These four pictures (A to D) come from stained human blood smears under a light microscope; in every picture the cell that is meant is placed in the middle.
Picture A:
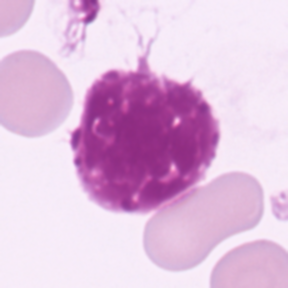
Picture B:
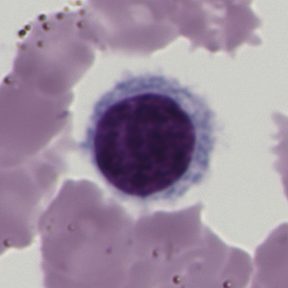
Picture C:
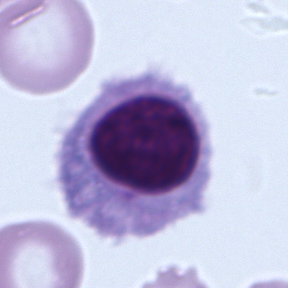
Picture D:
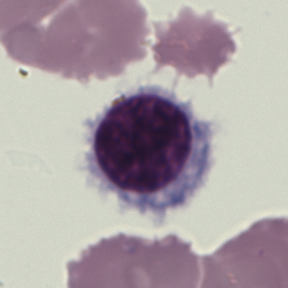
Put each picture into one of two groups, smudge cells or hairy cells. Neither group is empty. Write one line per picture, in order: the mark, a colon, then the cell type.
A: smudge cell
B: hairy cell
C: hairy cell
D: hairy cell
